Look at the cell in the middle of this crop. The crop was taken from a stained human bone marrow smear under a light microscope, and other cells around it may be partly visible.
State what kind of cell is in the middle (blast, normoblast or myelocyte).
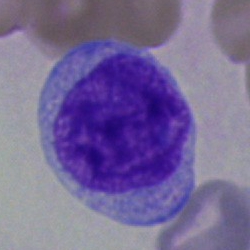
myelocyte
